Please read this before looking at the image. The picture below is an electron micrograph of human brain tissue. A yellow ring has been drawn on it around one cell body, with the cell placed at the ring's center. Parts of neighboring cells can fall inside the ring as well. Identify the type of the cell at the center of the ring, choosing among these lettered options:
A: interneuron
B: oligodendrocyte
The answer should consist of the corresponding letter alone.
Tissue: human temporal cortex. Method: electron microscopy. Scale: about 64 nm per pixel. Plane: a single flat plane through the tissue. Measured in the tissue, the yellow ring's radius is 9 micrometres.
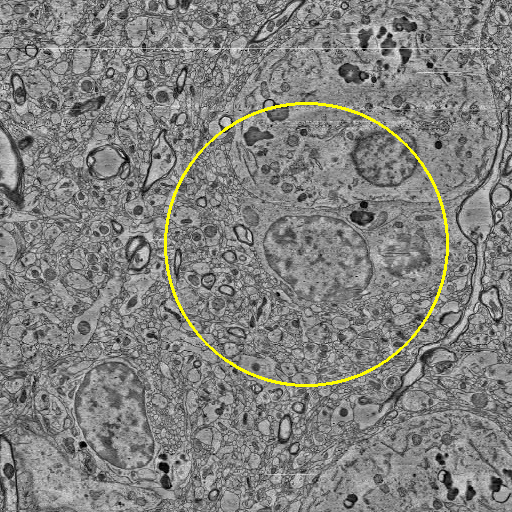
B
